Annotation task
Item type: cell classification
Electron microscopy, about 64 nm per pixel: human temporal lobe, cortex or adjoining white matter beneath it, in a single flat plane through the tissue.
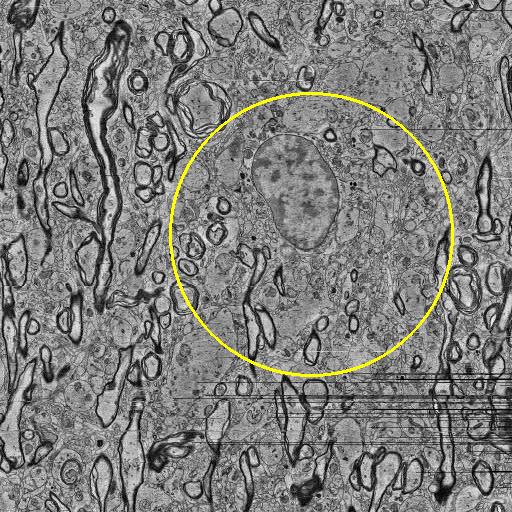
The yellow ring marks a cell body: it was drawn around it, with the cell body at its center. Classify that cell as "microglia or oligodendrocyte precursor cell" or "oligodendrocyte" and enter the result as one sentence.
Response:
The ring's center falls on a microglial cell or oligodendrocyte precursor cell.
